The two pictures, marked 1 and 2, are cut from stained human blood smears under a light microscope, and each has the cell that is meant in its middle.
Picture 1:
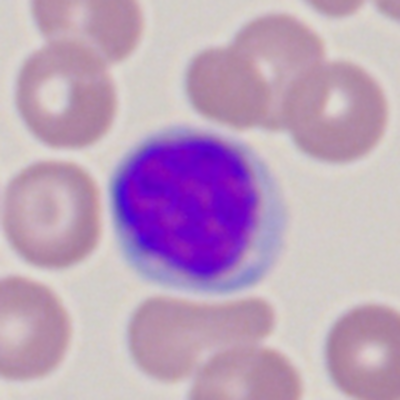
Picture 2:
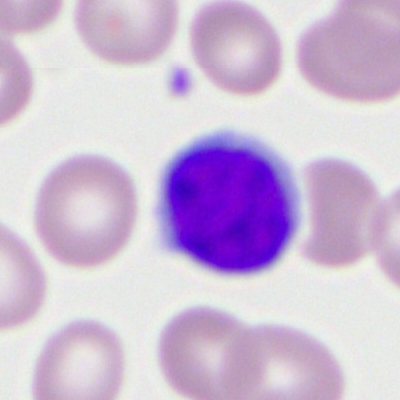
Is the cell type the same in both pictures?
yes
